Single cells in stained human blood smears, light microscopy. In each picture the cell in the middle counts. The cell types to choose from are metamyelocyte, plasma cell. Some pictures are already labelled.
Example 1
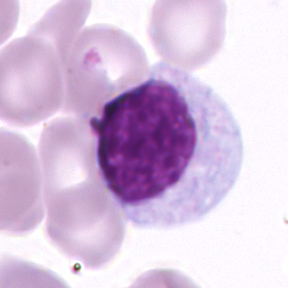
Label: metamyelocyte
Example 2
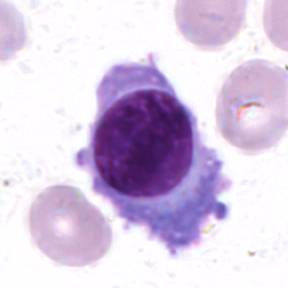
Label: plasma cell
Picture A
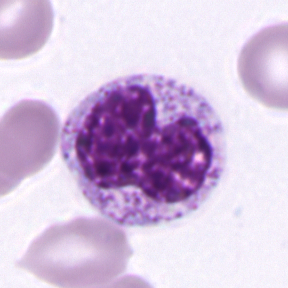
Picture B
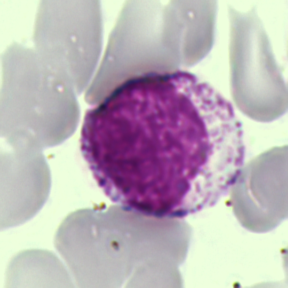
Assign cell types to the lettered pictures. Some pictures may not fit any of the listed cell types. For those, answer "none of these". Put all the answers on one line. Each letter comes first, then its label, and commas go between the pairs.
A metamyelocyte, B none of these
